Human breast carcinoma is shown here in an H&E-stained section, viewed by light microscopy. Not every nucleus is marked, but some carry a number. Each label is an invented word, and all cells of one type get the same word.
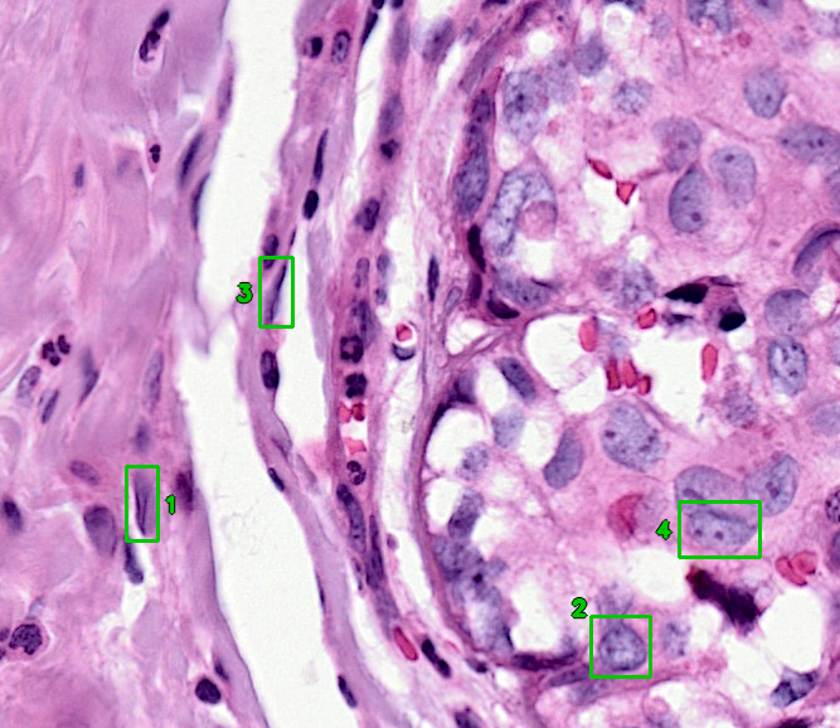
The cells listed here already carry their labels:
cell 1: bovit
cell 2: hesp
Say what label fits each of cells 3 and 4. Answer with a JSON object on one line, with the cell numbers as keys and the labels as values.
{"3": "bovit", "4": "hesp"}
